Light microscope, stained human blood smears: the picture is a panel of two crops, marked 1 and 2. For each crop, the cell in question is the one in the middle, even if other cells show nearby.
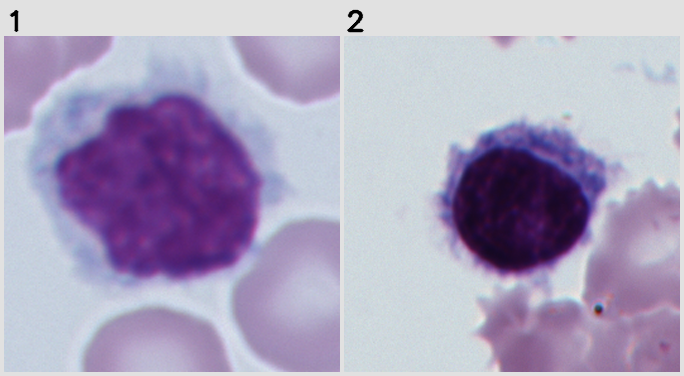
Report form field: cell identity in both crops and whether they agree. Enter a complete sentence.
Yes, as for both crops, the cells shown are hairy cells.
